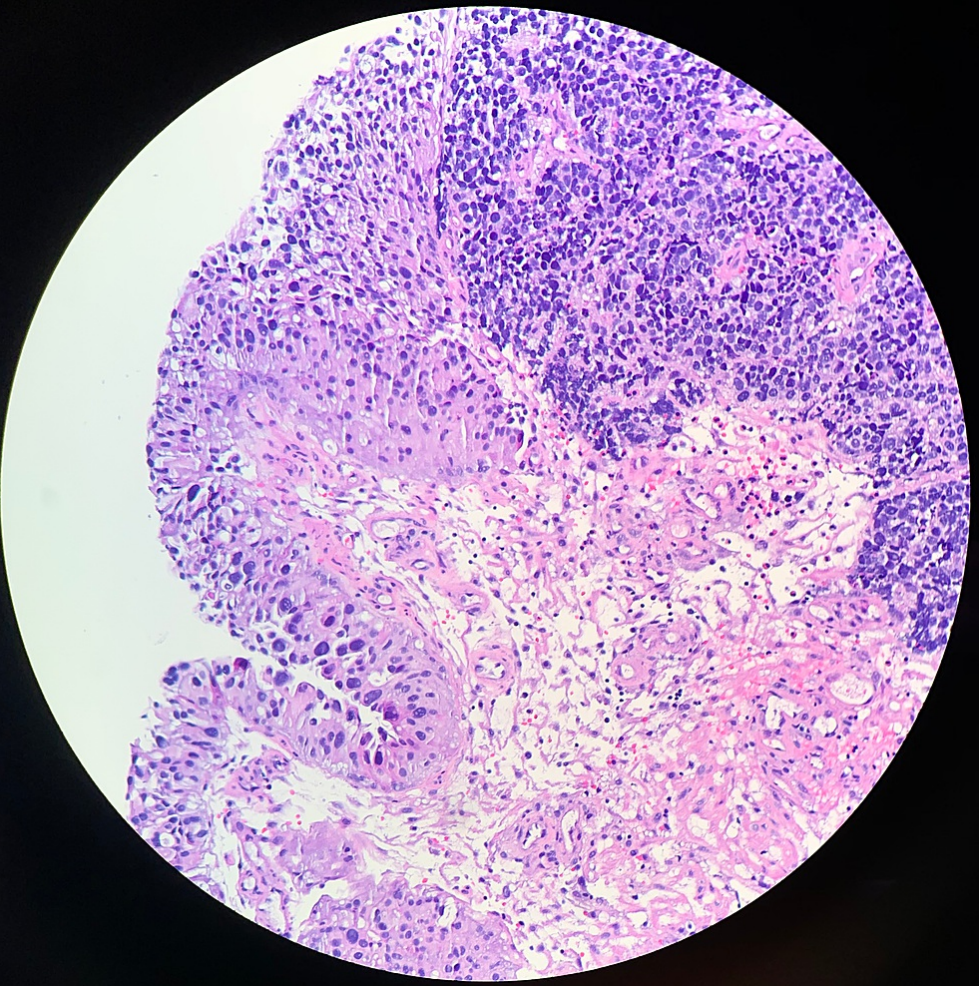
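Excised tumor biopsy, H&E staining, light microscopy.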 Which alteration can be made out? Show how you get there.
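Small cell carcinoma. A dense sheet of small round cells with dark nuclei and scant cytoplasm fills the upper right. The small cells lie beneath the surface epithelium in the deeper tissue.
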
